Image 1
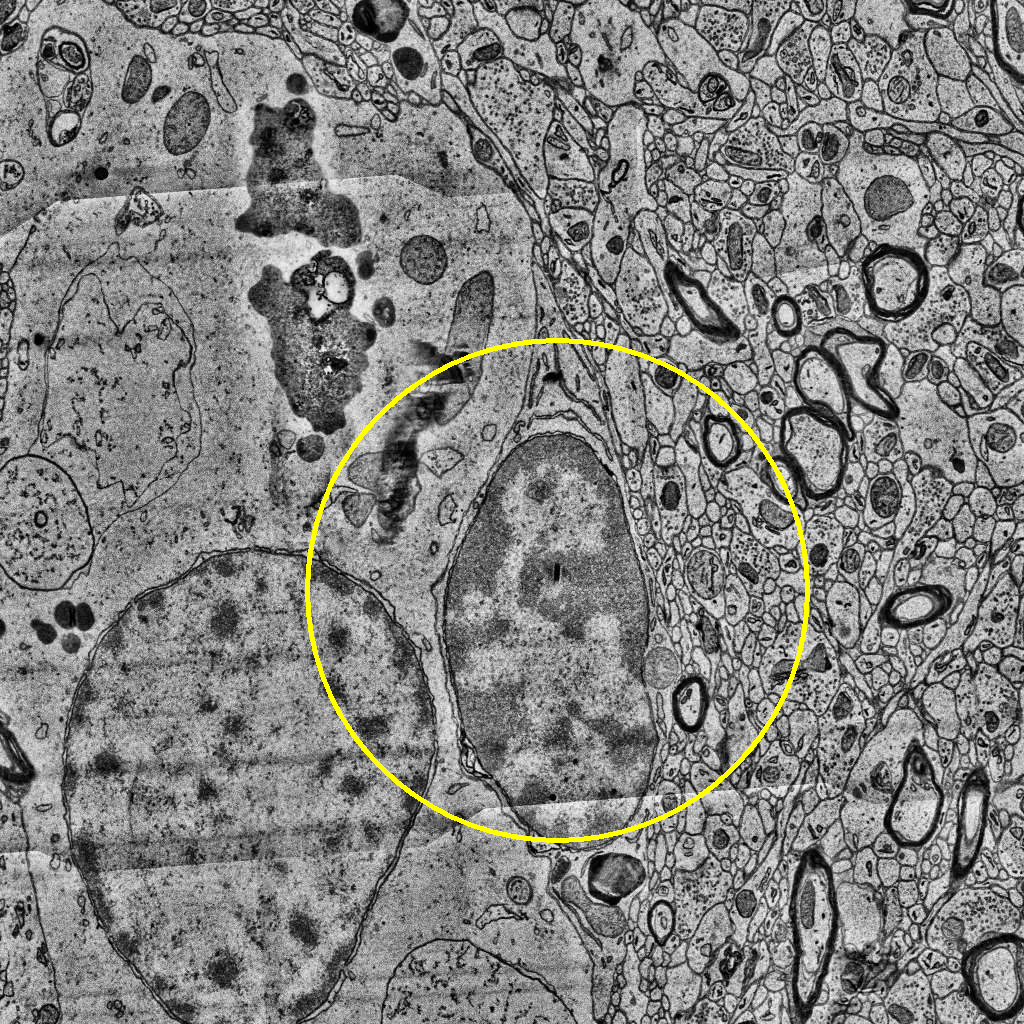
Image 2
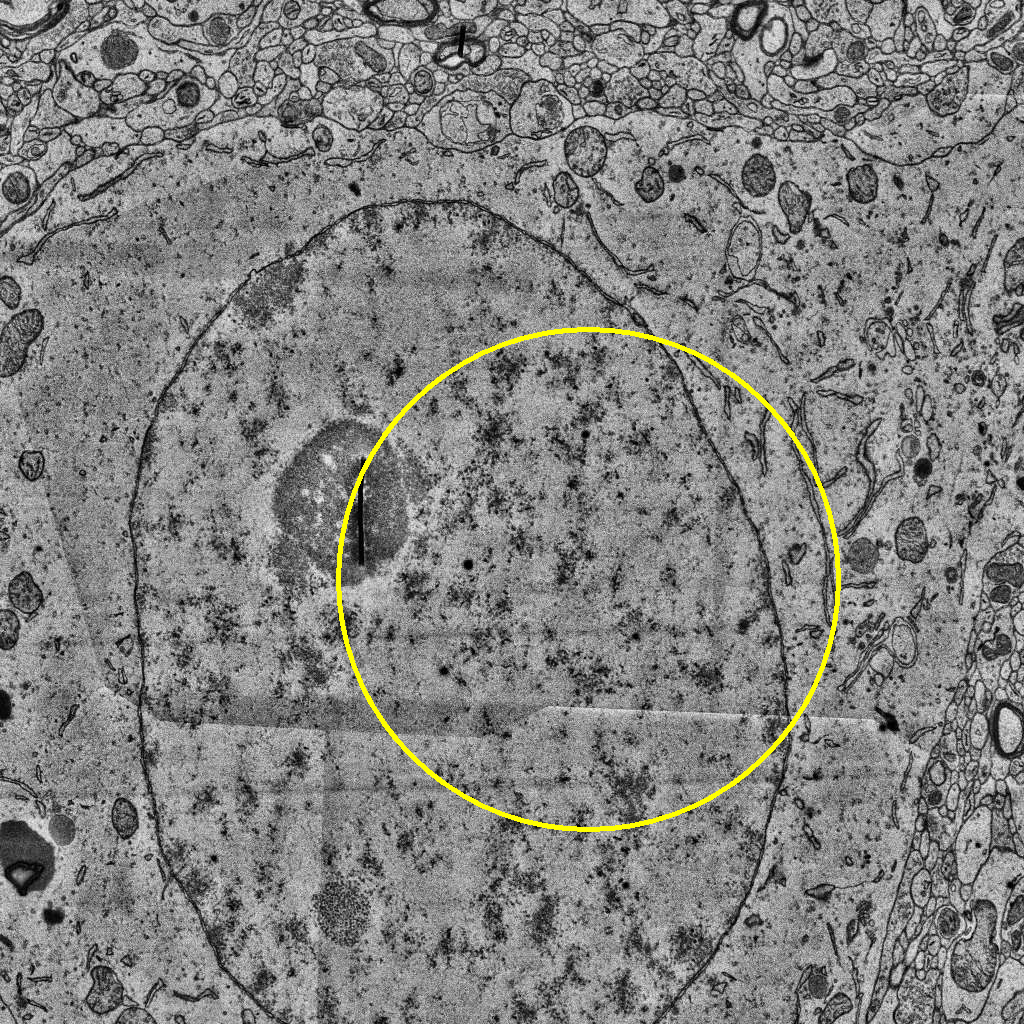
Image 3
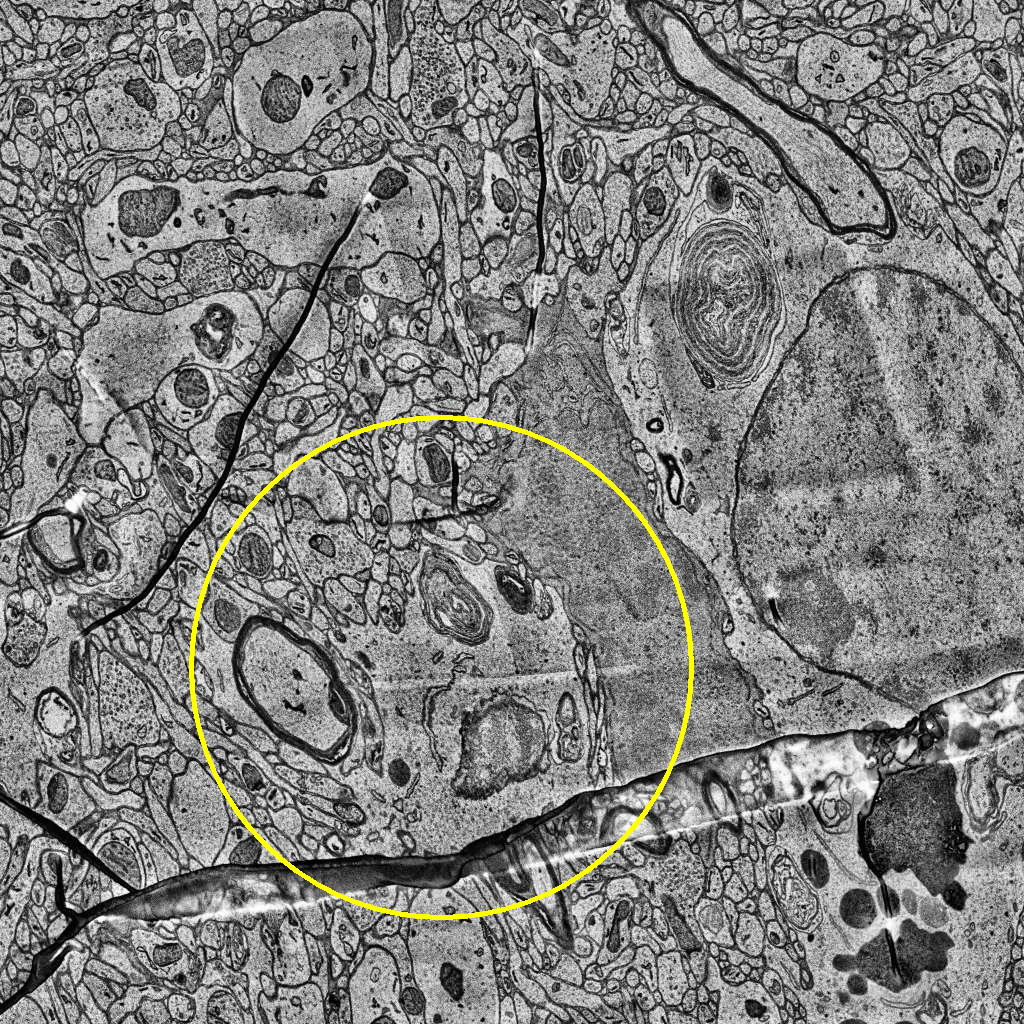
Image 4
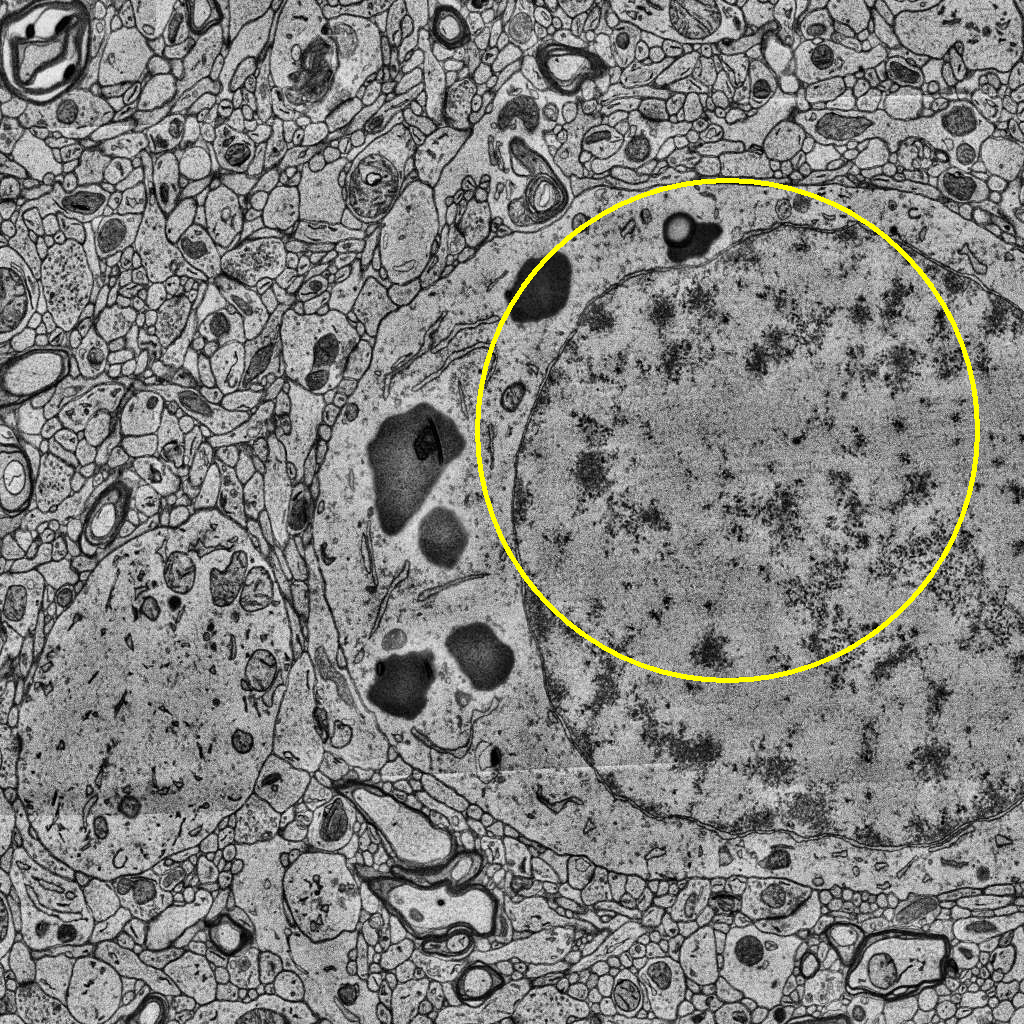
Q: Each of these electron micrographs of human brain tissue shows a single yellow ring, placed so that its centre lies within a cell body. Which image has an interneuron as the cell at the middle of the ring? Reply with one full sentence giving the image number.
In image 4, the cell body containing the ring's centre is the requested one.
